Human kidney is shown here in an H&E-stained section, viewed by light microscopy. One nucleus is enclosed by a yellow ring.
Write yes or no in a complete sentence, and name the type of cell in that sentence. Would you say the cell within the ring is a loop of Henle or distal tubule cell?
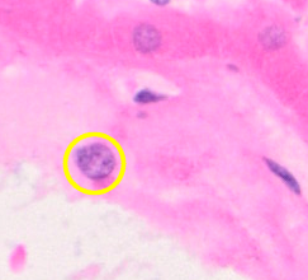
No, the cell within the ring is to be classified as a proximal tubule cell rather than a loop of Henle or distal tubule cell.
